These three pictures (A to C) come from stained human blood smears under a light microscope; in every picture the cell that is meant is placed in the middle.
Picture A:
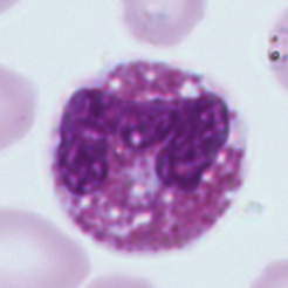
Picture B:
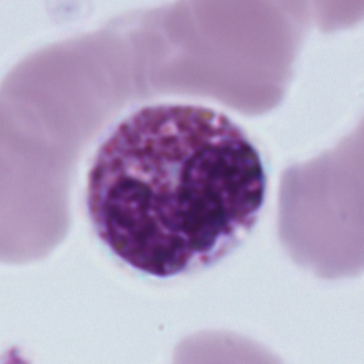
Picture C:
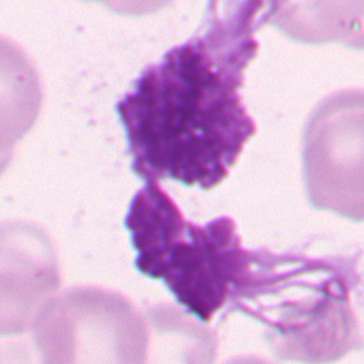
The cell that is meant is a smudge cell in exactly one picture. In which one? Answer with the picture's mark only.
C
